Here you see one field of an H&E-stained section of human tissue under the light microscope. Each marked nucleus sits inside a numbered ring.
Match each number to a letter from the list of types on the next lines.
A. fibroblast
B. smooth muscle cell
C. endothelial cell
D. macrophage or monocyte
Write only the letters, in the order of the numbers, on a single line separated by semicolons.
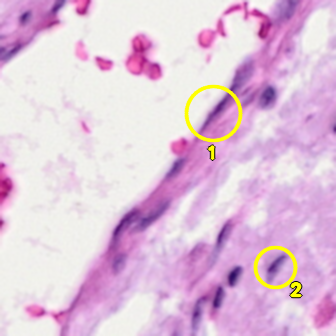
C; A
